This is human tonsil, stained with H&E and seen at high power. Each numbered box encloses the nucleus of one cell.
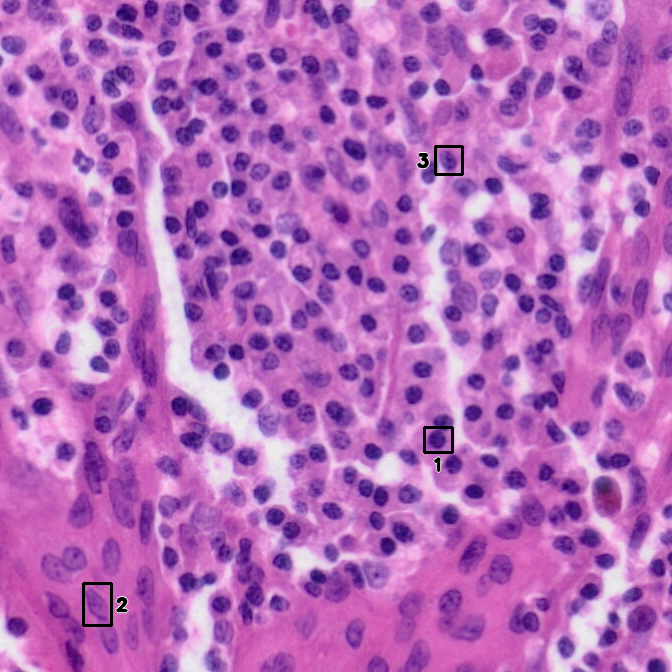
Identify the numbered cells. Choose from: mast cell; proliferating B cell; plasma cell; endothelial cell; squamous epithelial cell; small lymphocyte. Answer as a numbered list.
1. plasma cell
2. squamous epithelial cell
3. plasma cell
